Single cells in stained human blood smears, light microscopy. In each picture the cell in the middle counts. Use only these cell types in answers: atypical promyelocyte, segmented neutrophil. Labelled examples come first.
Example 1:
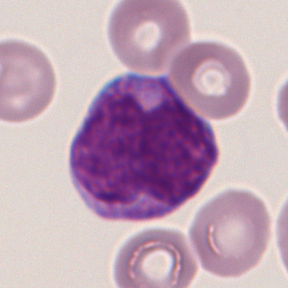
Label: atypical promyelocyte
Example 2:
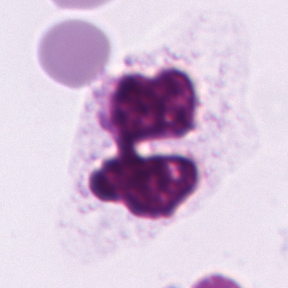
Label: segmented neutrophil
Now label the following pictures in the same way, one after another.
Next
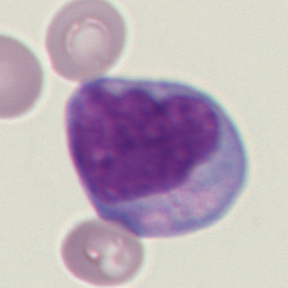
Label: atypical promyelocyte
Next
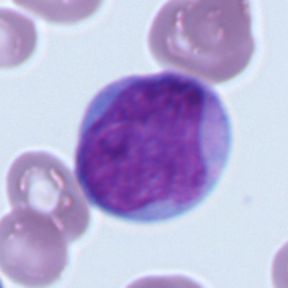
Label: atypical promyelocyte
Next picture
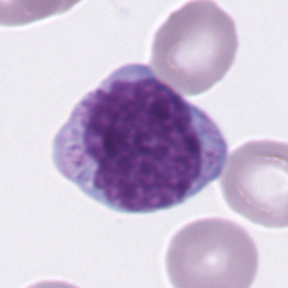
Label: atypical promyelocyte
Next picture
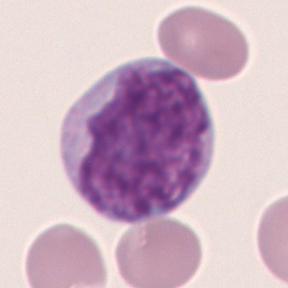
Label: atypical promyelocyte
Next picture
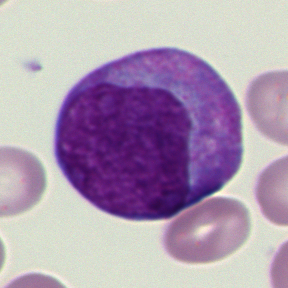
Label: atypical promyelocyte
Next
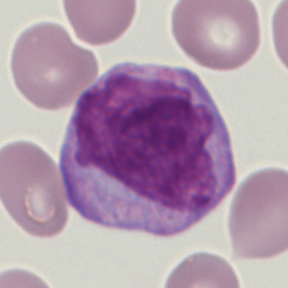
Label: atypical promyelocyte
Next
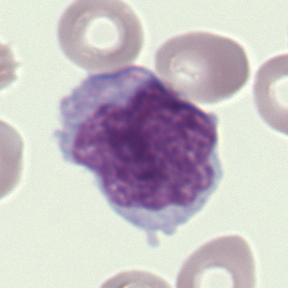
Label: atypical promyelocyte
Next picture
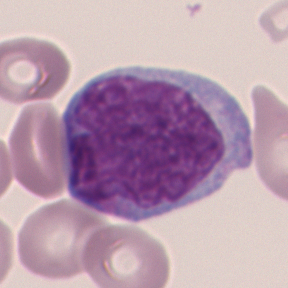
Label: atypical promyelocyte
